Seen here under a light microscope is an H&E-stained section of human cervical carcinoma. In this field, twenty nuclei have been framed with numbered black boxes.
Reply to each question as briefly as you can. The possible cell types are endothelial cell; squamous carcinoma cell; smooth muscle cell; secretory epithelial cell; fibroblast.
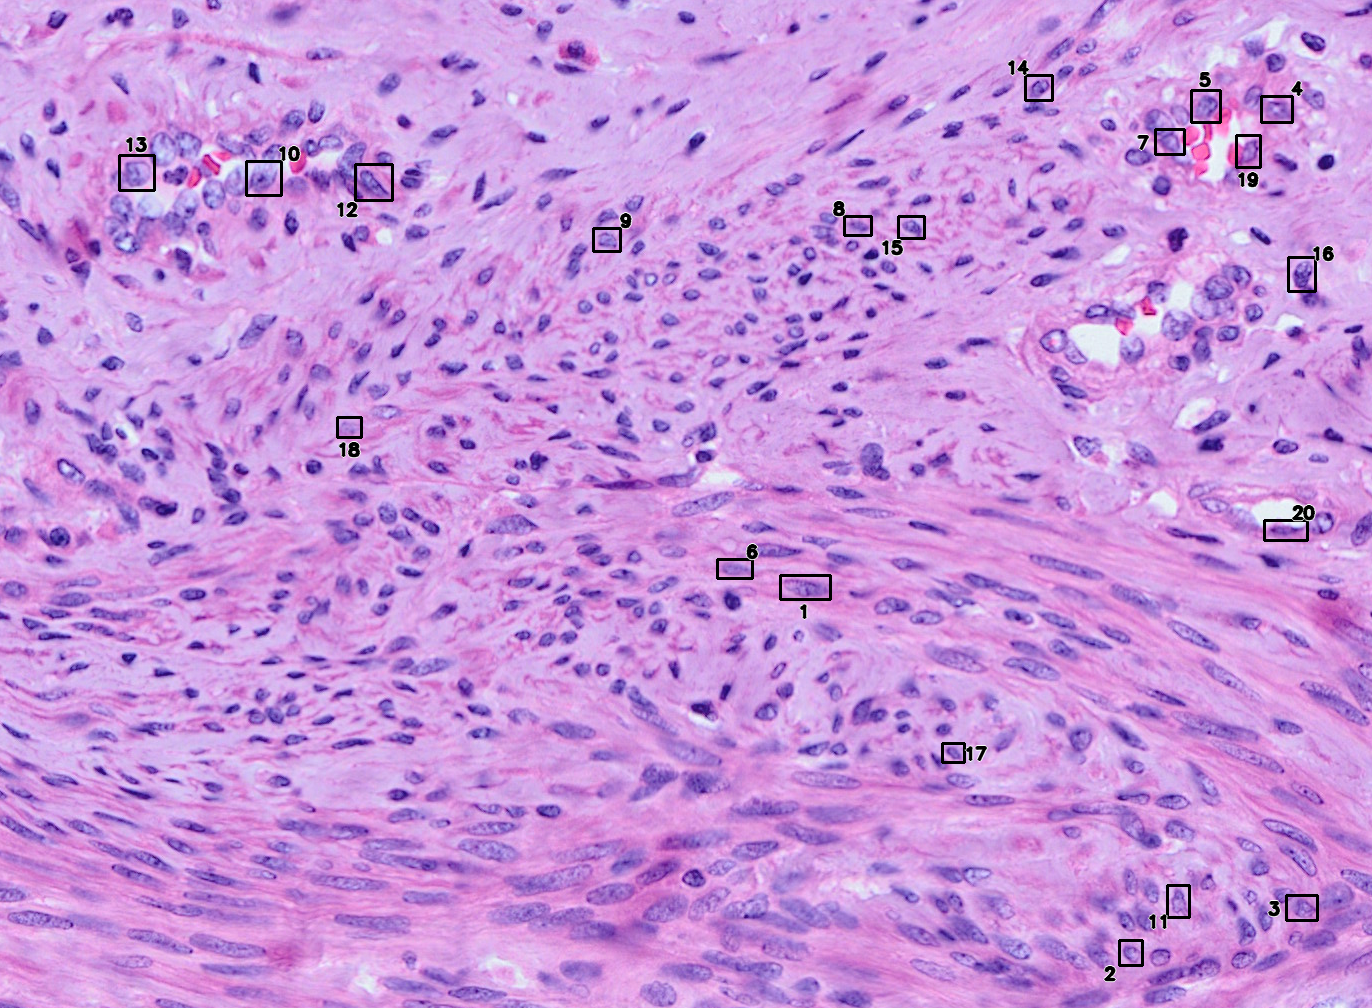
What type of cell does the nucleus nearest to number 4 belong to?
endothelial cell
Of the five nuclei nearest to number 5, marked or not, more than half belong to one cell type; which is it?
endothelial cell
